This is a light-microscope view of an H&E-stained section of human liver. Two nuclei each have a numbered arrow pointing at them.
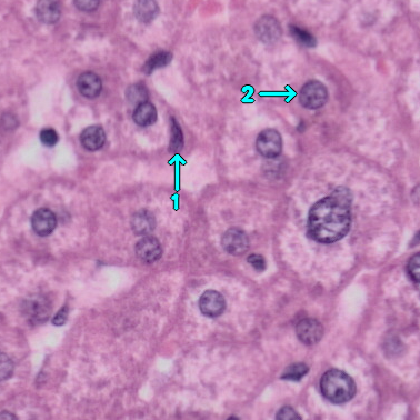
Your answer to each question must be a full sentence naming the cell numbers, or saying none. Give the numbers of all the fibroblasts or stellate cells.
The nucleus labelled 1 alone belongs to a fibroblast or stellate cell; the other marked nuclei do not.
